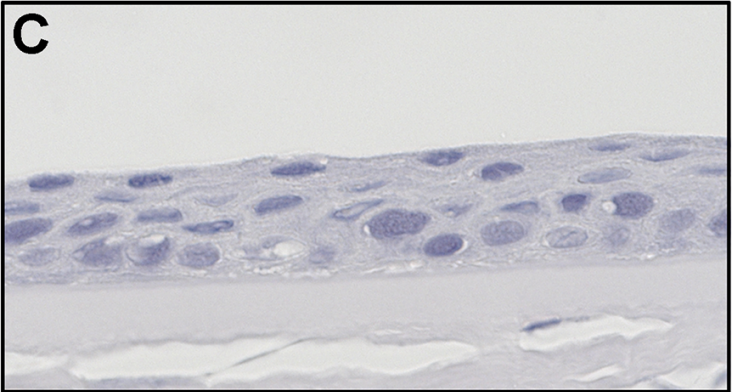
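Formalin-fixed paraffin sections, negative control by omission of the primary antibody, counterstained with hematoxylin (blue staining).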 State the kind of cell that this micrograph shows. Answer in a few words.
Corneal epithelial cells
